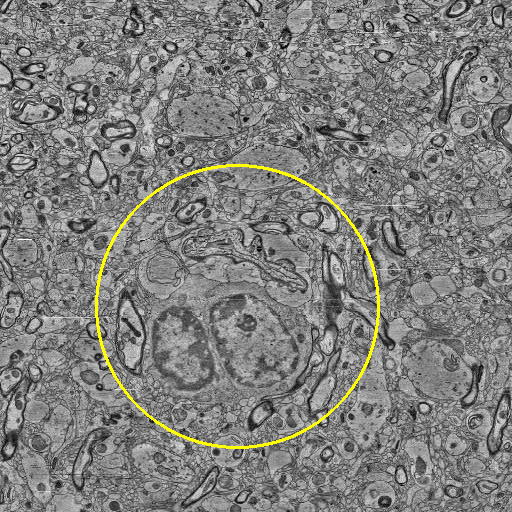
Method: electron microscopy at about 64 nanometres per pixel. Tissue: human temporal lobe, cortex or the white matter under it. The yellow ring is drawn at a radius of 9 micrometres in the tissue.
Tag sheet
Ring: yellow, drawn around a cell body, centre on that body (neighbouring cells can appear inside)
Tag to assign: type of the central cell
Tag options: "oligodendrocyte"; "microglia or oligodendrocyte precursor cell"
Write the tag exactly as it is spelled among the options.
oligodendrocyte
